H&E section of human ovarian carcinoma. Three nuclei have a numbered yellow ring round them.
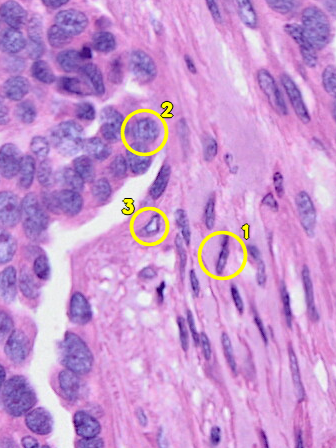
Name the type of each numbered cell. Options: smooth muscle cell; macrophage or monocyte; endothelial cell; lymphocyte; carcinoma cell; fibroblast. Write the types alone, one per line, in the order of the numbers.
fibroblast
carcinoma cell
fibroblast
